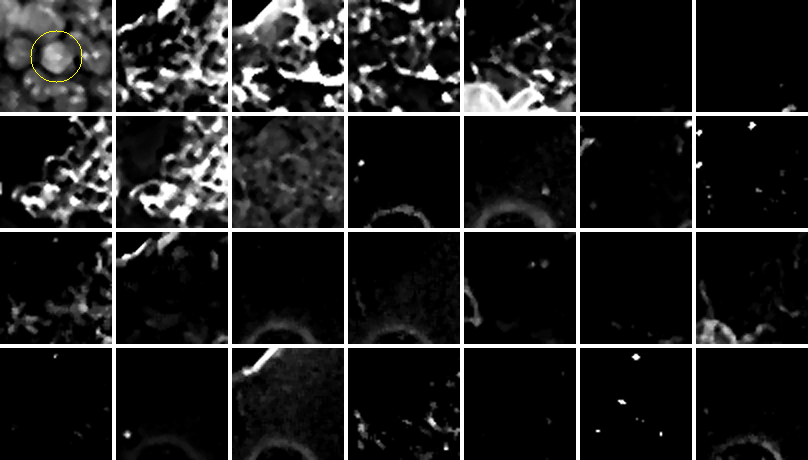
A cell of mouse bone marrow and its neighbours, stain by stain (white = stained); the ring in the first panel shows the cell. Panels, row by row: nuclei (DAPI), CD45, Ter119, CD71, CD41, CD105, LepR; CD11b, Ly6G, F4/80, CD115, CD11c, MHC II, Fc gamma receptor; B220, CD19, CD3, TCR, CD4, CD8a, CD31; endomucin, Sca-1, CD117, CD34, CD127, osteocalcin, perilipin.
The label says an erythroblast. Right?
Wrong: this is a neutrophil.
